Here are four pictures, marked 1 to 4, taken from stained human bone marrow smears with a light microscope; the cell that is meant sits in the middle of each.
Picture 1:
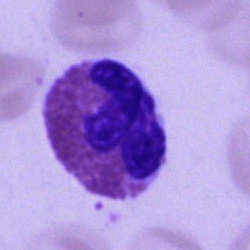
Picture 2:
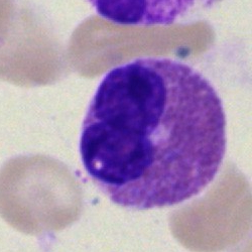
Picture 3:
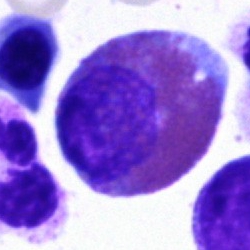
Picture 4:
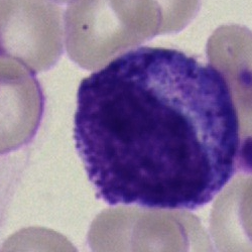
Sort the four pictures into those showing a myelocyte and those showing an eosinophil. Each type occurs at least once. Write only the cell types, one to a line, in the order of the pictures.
eosinophil
eosinophil
eosinophil
myelocyte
